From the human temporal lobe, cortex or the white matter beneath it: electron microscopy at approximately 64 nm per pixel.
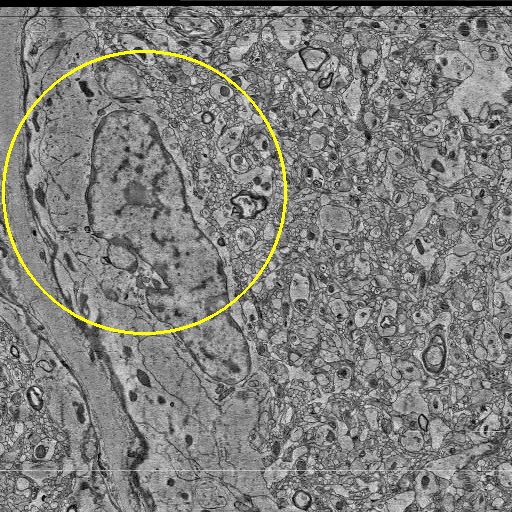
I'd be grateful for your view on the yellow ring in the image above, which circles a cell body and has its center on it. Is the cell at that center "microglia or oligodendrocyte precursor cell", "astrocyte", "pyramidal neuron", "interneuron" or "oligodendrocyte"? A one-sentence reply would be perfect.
The cell at the center of the yellow ring is a microglial cell or oligodendrocyte precursor cell.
